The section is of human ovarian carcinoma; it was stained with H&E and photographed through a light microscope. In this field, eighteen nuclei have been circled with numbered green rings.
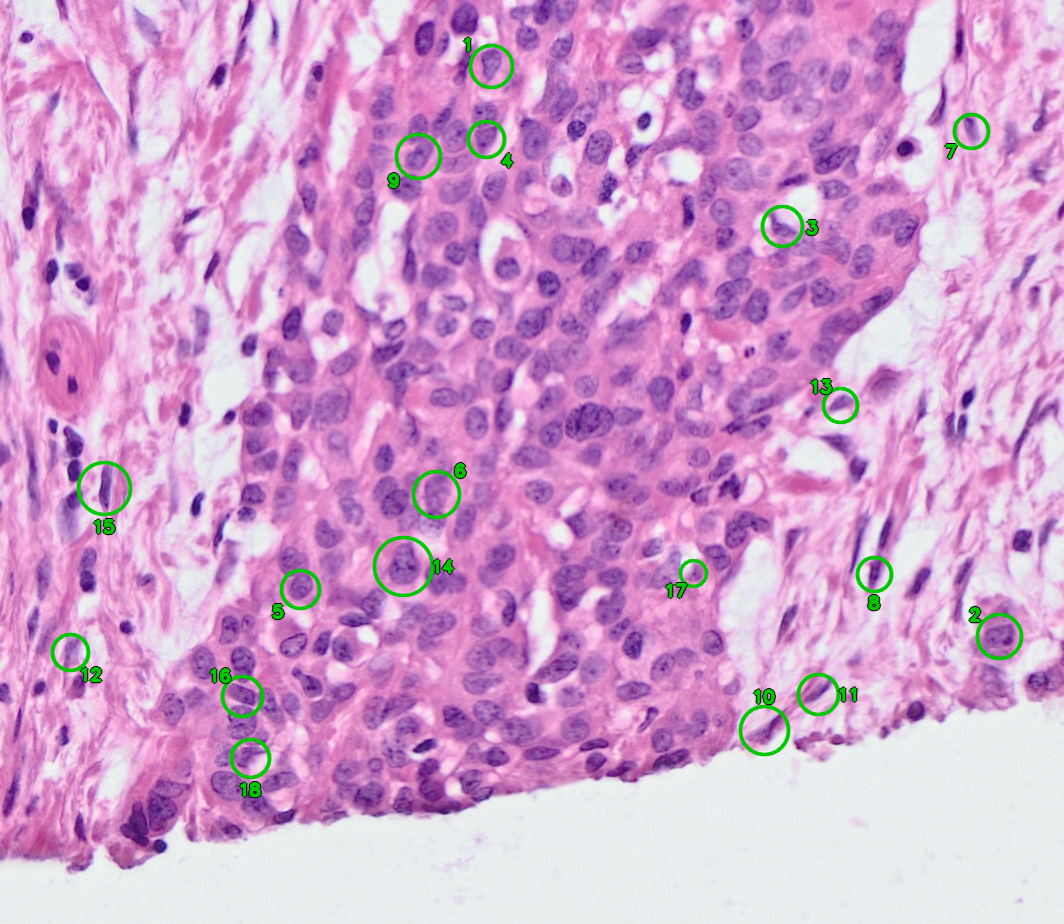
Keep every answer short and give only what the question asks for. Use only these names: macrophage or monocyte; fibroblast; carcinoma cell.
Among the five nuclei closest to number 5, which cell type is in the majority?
carcinoma cell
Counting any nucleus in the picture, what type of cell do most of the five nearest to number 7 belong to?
fibroblast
